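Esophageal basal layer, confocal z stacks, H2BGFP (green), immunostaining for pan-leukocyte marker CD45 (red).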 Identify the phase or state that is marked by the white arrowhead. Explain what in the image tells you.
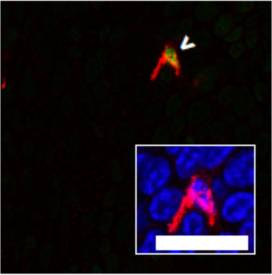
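Almost the whole field is dark, with little green left. A single irregular red cell lies beside the arrowhead. A small green-yellow spot overlaps this red cell.
Conclusion: label-retaining cells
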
